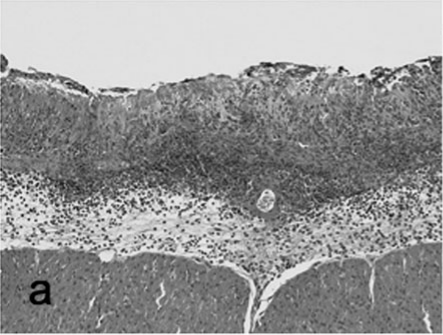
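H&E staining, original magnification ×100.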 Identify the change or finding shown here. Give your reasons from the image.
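No glandular pits or surface epithelial lining are left across the mucosa.
Hence: widespread necrosis with loss of surface epithelium.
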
